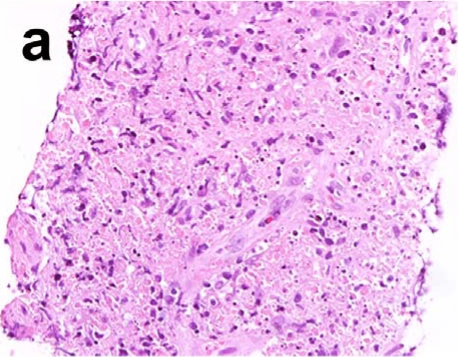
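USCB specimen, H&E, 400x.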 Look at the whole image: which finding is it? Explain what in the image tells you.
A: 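Much of the field is pale pink amorphous material without intact cell outlines. Scattered small dark nuclear fragments lie within the pink material.
Hence: Necrosis.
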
